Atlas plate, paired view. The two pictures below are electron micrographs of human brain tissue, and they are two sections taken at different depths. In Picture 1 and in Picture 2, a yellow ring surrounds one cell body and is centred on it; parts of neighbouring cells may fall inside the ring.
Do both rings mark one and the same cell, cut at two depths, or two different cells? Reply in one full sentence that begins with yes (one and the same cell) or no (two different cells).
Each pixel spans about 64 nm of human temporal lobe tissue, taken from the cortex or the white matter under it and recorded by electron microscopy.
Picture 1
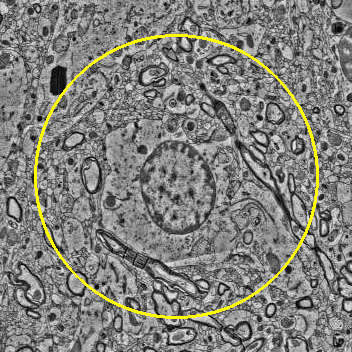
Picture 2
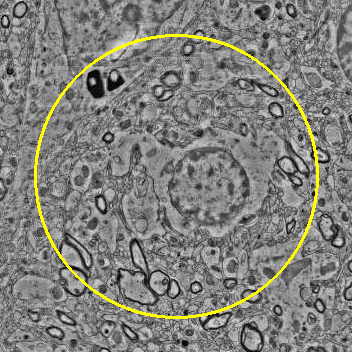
Yes, one and the same cell lies under both rings.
